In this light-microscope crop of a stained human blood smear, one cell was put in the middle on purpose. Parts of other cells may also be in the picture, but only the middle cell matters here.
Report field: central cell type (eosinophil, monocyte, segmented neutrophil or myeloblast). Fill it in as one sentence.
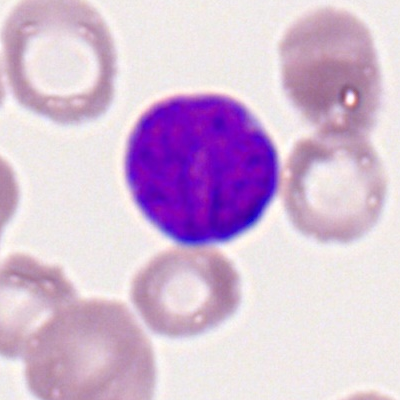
Within this crop, a myeloblast occupies the central position.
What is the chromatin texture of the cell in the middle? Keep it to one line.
The chromatin of this one is coarsely clumped.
